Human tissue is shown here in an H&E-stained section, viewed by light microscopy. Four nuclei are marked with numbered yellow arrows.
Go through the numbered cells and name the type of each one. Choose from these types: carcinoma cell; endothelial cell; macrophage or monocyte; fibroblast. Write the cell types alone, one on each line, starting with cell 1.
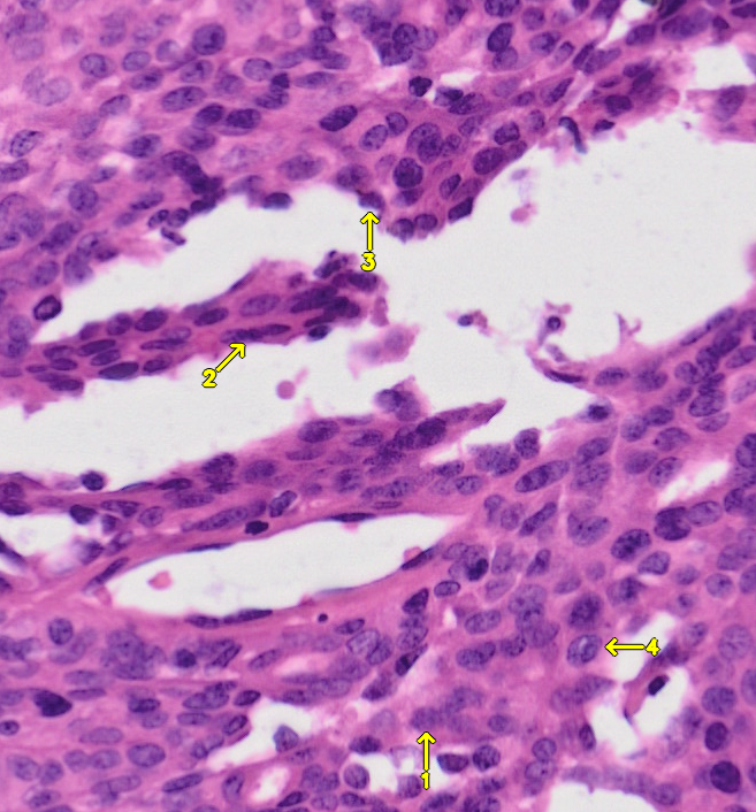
carcinoma cell
endothelial cell
carcinoma cell
macrophage or monocyte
